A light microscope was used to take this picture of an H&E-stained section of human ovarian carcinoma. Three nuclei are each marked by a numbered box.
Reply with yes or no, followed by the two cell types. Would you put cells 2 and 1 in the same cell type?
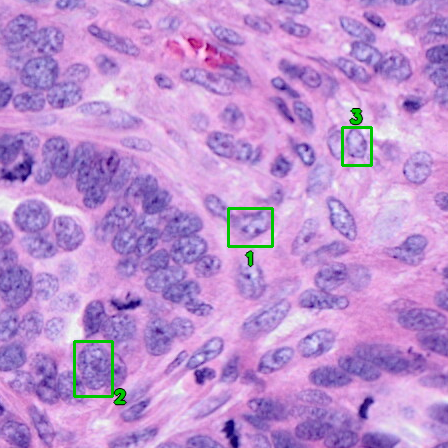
No, cell 2 is a carcinoma cell and cell 1 is a fibroblast.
